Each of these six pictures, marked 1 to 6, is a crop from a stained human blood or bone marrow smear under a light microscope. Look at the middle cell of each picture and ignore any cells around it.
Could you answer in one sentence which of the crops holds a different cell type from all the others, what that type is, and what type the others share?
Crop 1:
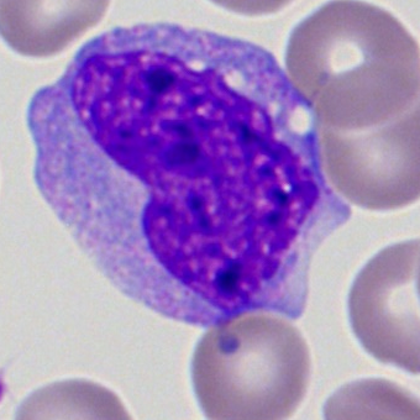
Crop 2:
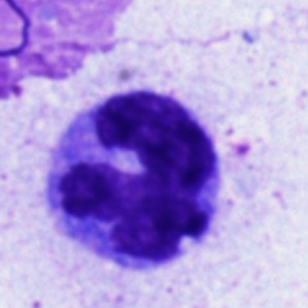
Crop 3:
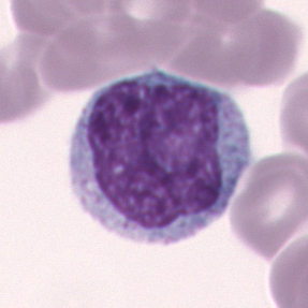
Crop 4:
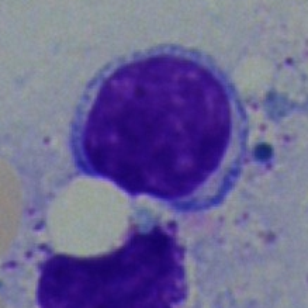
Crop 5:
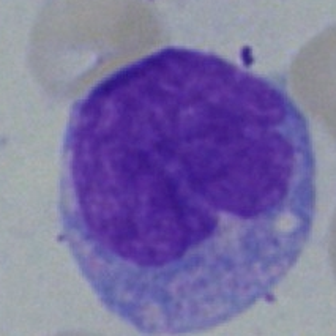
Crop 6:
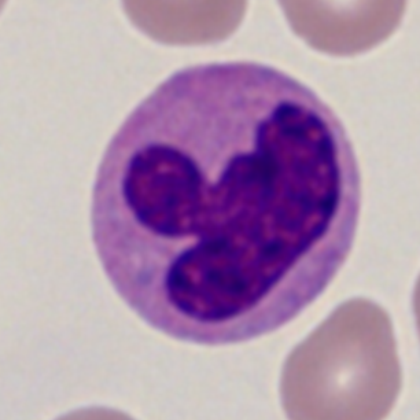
Crop 4 is the sole crop with a lymphocyte; the others all have monocytes.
